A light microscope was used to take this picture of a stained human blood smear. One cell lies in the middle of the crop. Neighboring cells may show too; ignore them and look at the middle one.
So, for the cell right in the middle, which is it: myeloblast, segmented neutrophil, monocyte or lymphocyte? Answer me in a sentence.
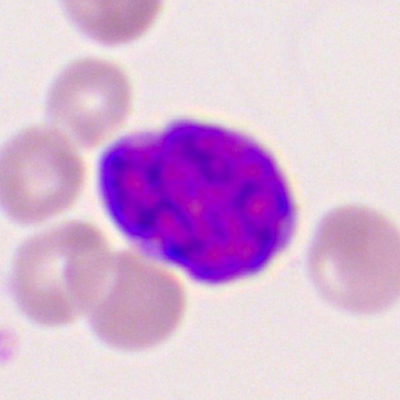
Regarding the central cell, it is a myeloblast.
